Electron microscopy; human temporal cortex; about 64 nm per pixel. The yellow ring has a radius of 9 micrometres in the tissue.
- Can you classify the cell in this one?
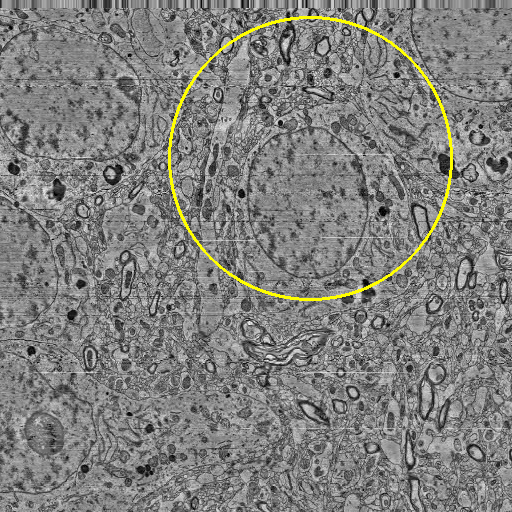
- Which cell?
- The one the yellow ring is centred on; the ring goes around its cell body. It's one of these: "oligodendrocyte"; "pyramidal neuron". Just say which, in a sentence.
The cell body in the ring belongs to a pyramidal neuron.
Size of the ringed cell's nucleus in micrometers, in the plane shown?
The nucleus has a long axis of about 10 micrometres and a short axis of about 8 micrometres in this plane.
